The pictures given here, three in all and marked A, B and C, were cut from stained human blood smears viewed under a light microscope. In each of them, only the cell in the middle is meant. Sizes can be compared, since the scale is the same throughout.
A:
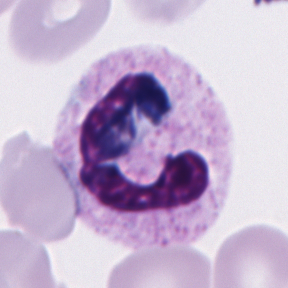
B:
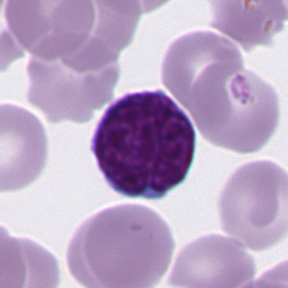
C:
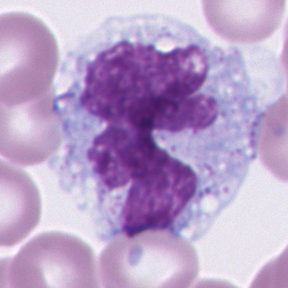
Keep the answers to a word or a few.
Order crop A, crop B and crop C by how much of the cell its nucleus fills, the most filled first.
B, C, A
